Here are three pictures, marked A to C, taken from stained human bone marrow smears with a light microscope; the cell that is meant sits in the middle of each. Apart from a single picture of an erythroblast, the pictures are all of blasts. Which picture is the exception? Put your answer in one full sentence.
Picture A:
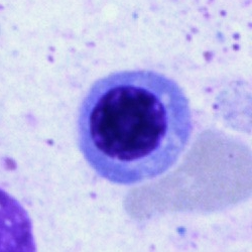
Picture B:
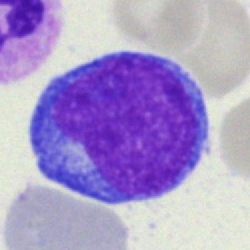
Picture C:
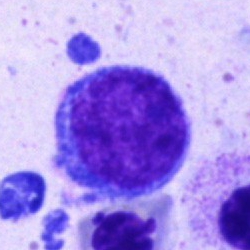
It is picture A that shows the erythroblast.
